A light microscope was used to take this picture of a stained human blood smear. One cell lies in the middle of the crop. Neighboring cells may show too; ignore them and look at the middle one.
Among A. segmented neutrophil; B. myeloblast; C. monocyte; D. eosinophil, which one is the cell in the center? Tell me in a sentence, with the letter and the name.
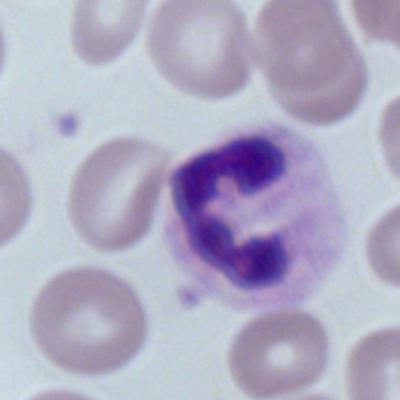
Of the options given, A is correct, the central cell being a segmented neutrophil.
